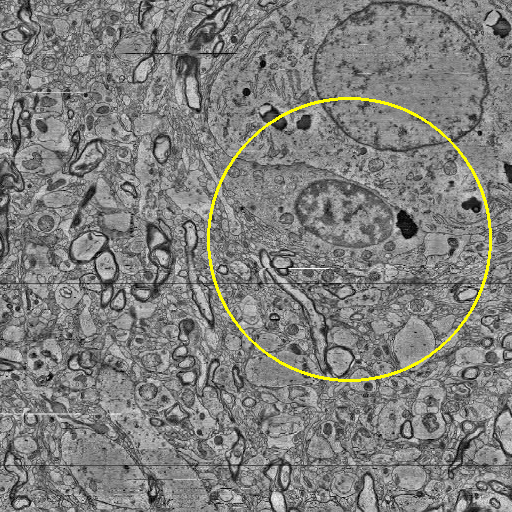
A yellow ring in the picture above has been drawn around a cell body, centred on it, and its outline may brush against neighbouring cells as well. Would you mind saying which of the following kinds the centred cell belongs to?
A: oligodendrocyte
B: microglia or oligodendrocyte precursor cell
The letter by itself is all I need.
A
